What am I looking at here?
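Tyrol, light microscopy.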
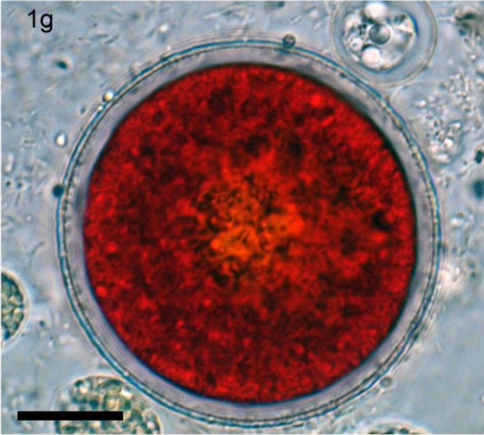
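A single large spherical cell fills the field, enclosed by a thick wall of several concentric layers, the innermost being broad and greyish. Its protoplast is densely granular and deep red, with a paler orange zone in the centre.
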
